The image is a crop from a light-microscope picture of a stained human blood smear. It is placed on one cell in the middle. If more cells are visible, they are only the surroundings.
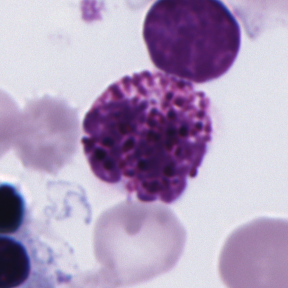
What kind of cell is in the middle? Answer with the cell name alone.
basophil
